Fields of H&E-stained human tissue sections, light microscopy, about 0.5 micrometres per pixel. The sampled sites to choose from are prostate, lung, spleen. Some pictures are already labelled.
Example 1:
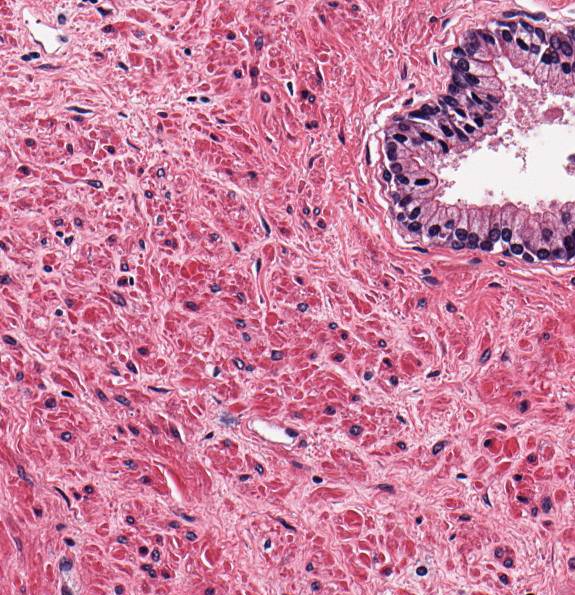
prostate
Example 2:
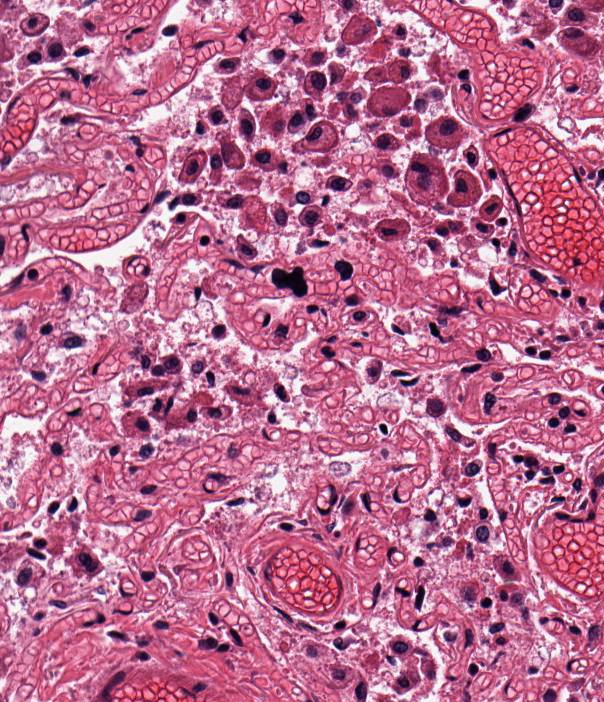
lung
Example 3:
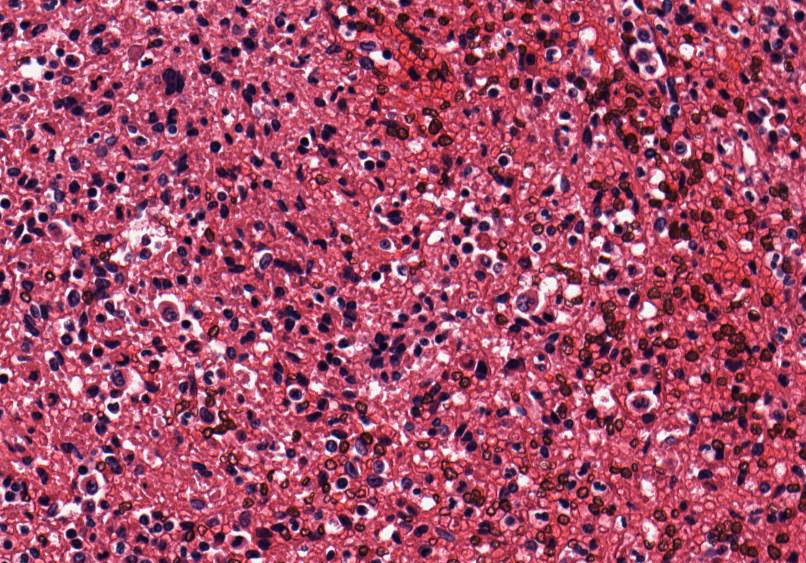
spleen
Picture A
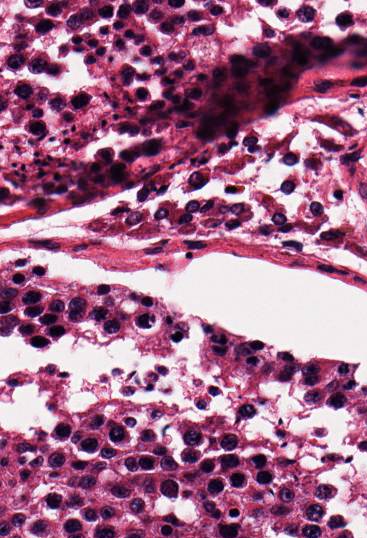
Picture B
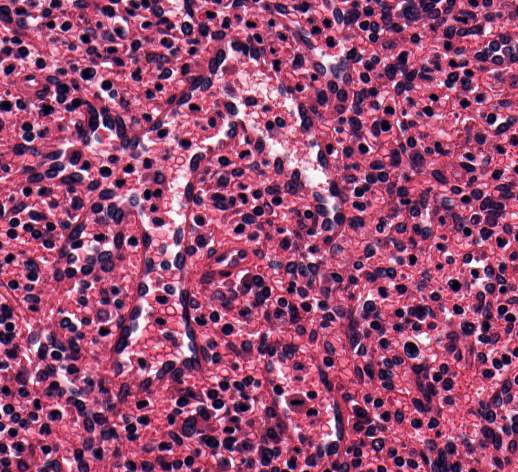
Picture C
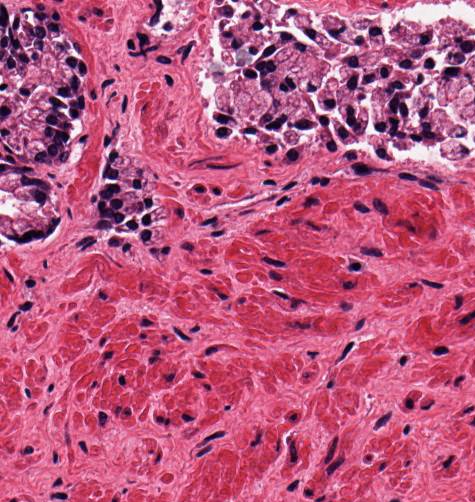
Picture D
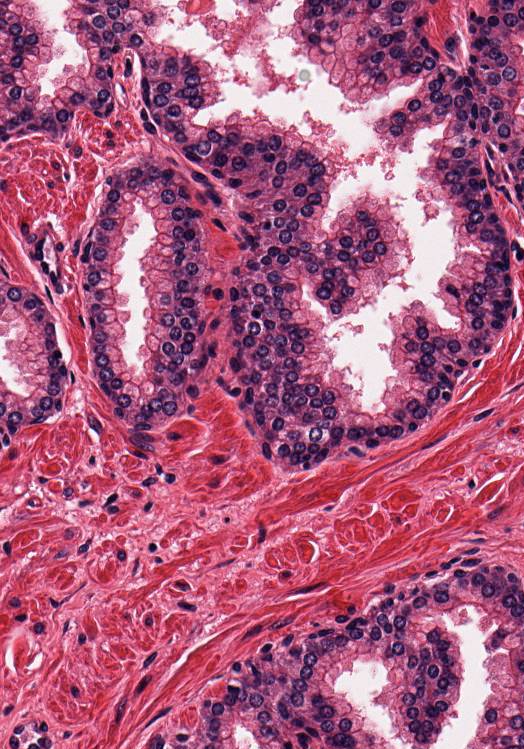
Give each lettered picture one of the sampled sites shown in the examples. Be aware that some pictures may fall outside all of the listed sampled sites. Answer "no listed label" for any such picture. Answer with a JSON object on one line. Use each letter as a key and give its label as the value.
{"A": "no listed label", "B": "spleen", "C": "prostate", "D": "prostate"}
